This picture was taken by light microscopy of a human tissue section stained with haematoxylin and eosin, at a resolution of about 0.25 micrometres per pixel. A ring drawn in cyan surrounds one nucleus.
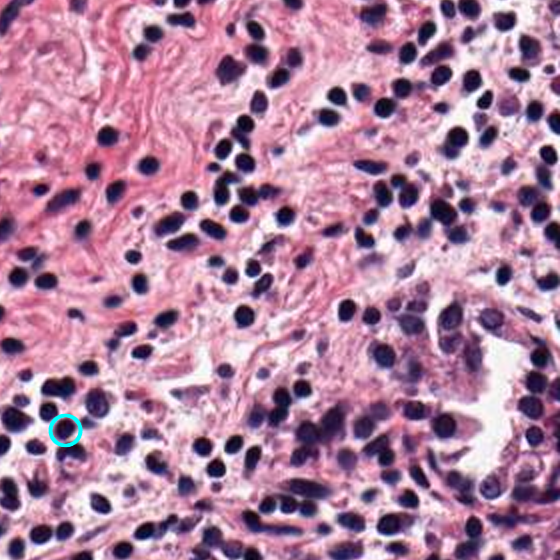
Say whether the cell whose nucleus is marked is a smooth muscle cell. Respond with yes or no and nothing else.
no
